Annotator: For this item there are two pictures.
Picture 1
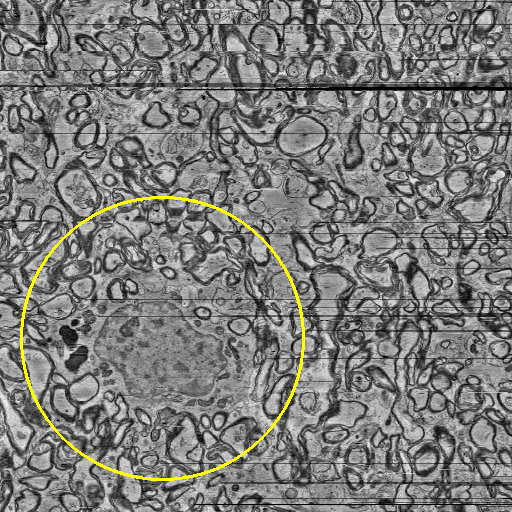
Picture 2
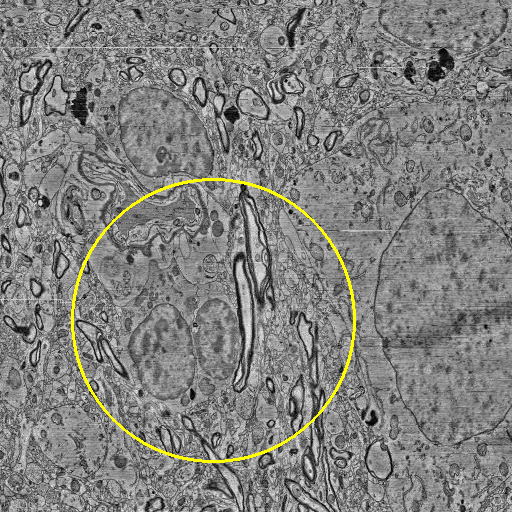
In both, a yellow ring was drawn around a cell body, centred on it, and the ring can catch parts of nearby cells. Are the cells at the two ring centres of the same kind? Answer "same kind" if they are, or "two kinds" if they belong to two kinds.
same kind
